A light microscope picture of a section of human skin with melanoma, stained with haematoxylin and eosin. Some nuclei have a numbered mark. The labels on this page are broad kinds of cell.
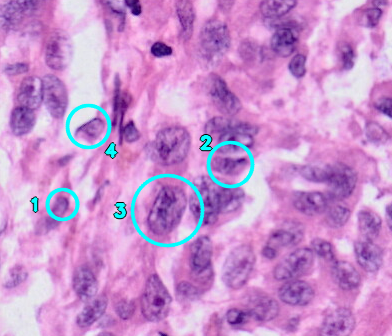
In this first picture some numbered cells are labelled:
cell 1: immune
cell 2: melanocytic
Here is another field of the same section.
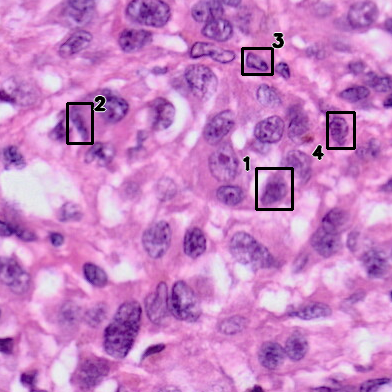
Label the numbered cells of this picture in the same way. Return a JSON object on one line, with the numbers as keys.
{"1": "melanocytic", "2": "melanocytic", "3": "immune", "4": "melanocytic"}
